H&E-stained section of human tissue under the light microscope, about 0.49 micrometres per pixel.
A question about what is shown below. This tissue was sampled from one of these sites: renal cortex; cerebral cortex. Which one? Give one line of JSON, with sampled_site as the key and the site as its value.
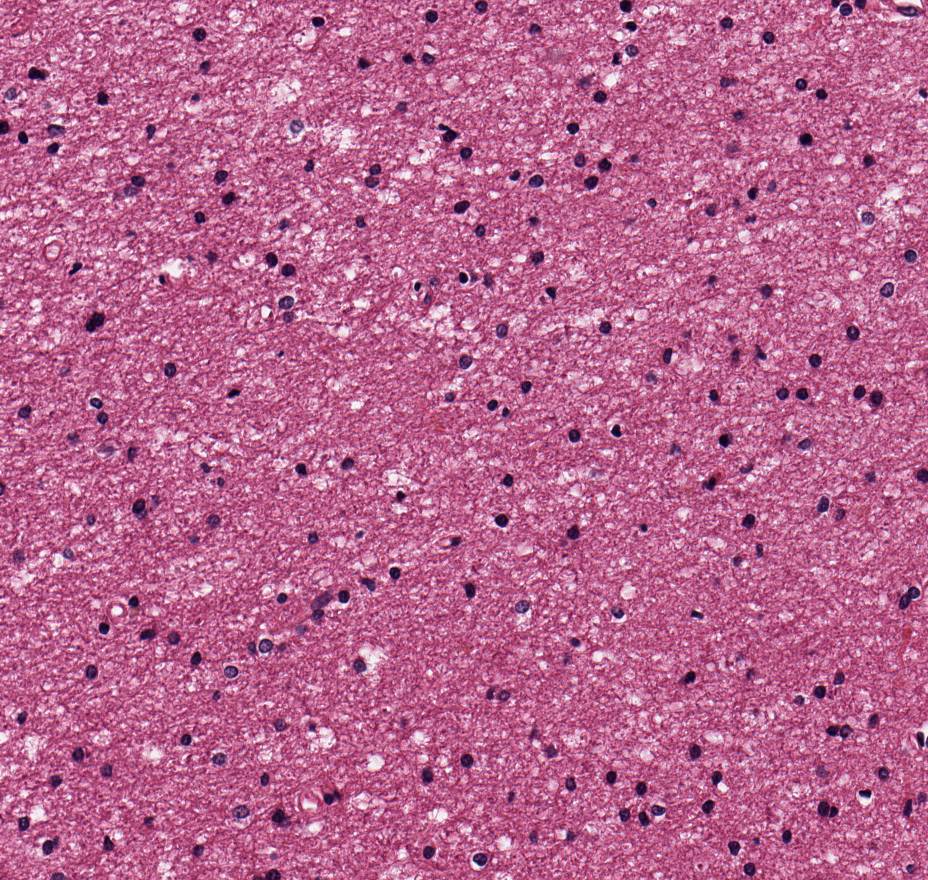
{"sampled_site": "cerebral cortex"}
